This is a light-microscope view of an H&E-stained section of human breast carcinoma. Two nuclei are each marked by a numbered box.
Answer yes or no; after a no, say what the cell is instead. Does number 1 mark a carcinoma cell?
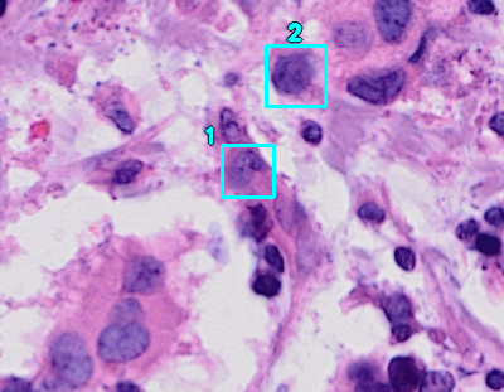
No, it is an endothelial cell.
